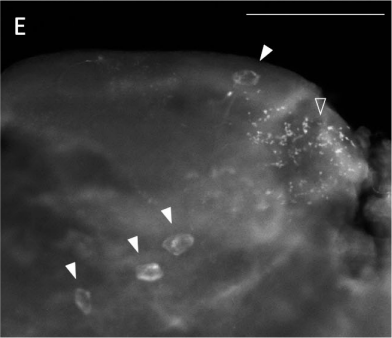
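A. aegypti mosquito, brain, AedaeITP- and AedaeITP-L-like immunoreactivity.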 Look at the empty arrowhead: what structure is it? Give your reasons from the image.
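A cluster of small bright dots lies near the edge of the tissue. The dots are far smaller than the marked cell bodies nearby. On this evidence: varicosities and blebs.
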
